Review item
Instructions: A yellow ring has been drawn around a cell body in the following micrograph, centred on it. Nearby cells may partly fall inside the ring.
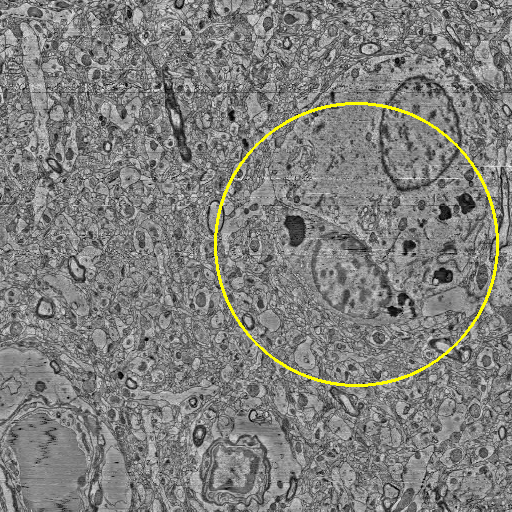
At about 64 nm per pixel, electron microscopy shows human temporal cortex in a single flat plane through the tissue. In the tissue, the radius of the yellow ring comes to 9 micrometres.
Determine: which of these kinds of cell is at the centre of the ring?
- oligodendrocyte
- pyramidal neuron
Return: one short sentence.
The cell body in the middle of the ring is that of an oligodendrocyte.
